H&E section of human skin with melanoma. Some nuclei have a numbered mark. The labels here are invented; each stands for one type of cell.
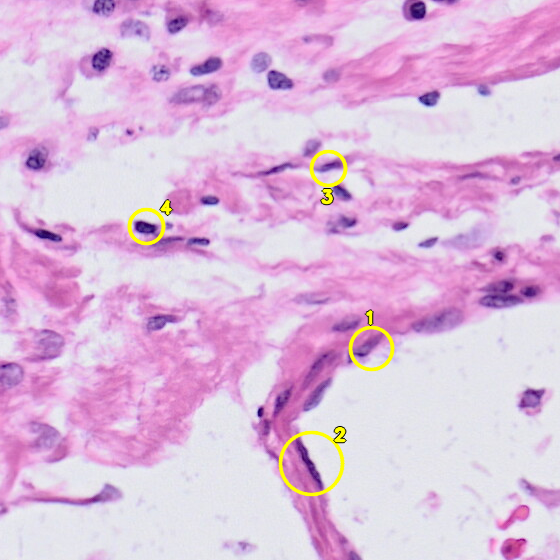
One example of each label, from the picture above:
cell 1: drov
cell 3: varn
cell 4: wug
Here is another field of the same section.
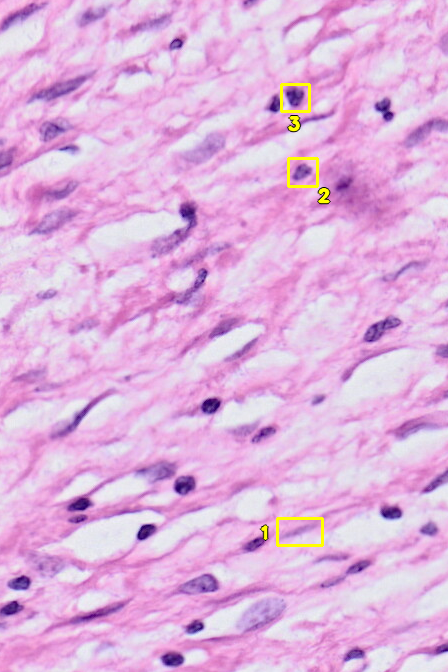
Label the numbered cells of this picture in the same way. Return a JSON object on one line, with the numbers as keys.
{"1": "varn", "2": "wug", "3": "wug"}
